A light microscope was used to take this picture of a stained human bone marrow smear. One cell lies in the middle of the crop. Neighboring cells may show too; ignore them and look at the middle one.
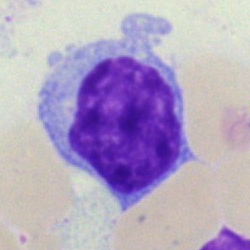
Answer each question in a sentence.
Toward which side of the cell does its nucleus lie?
The nucleus sits off-centre, toward the lower right.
